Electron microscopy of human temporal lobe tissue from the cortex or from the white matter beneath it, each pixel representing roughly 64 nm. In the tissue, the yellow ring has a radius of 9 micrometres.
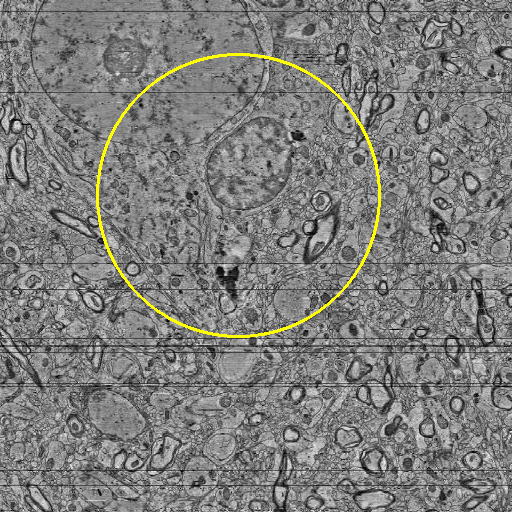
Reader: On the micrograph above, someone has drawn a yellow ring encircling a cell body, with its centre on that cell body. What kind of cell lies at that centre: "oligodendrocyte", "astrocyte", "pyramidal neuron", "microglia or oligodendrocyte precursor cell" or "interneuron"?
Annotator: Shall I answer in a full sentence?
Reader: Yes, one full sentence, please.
Here an oligodendrocyte sits at the centre of the yellow ring drawn on the micrograph.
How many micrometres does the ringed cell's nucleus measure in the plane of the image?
The nucleus has a long axis of about 6 micrometres and a short axis of about 5 micrometres in this plane.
